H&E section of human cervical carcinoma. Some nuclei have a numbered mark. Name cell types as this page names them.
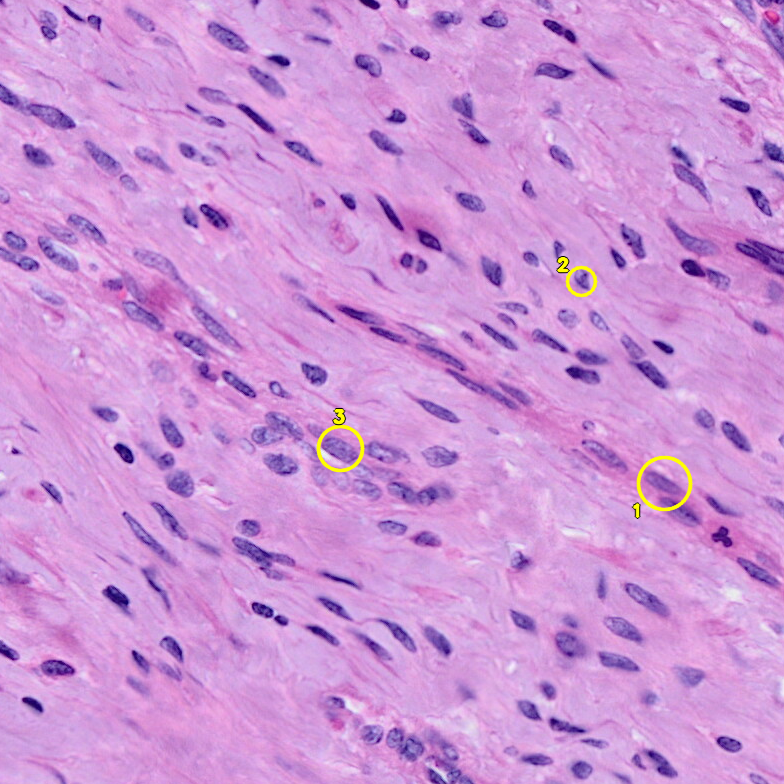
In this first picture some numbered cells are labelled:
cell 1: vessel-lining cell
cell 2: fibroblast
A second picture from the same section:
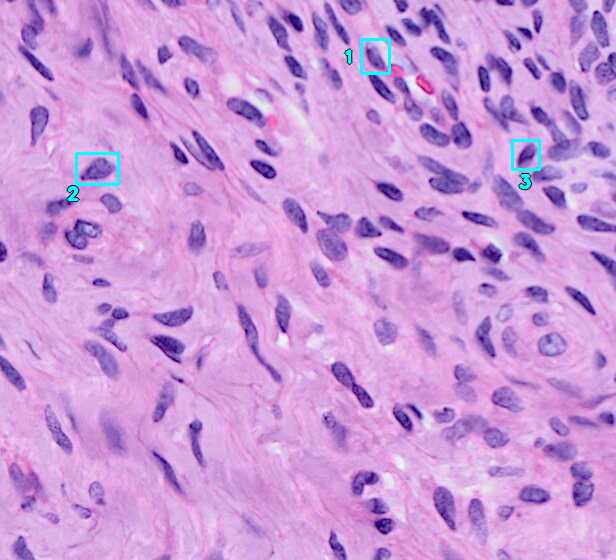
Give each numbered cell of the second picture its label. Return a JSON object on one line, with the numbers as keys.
{"1": "vessel-lining cell", "2": "fibroblast", "3": "fibroblast"}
